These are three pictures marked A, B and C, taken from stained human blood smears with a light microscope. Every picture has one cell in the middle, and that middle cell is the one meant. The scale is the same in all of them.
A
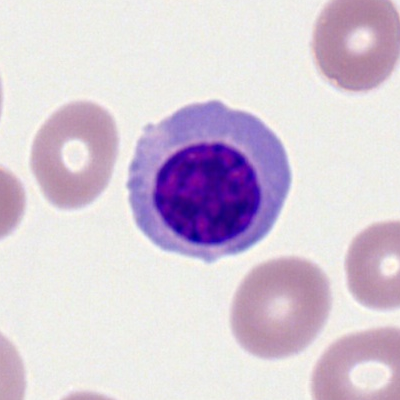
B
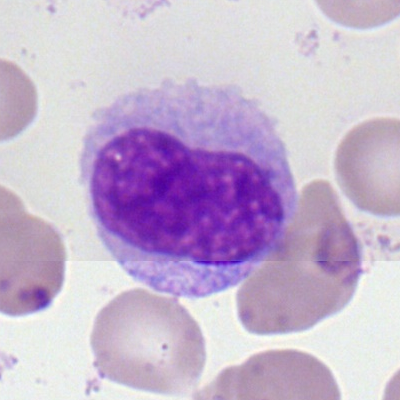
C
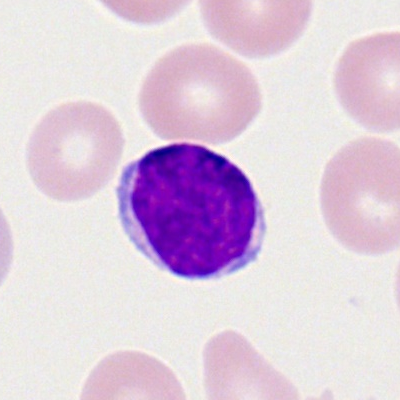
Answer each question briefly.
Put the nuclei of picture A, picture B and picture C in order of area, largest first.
B, C, A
